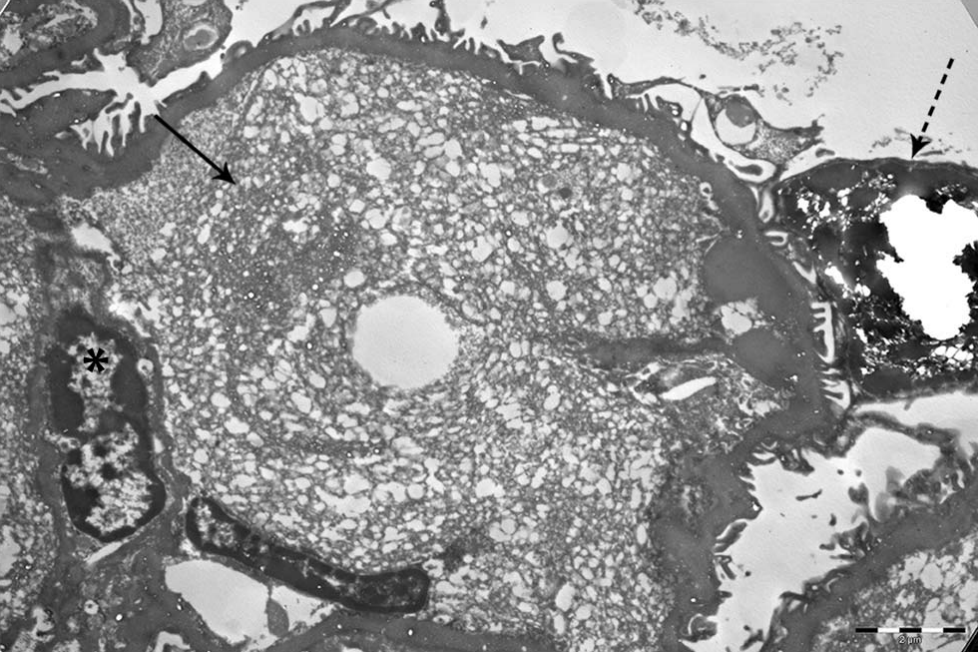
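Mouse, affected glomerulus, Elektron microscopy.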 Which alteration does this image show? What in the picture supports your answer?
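The large capillary space is packed with many small pale round vacuoles. The vacuoles sit in a fine grey meshwork. One larger round pale area lies near the centre. The answer: filling of the intracapillary lumina with optically lucent areas.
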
